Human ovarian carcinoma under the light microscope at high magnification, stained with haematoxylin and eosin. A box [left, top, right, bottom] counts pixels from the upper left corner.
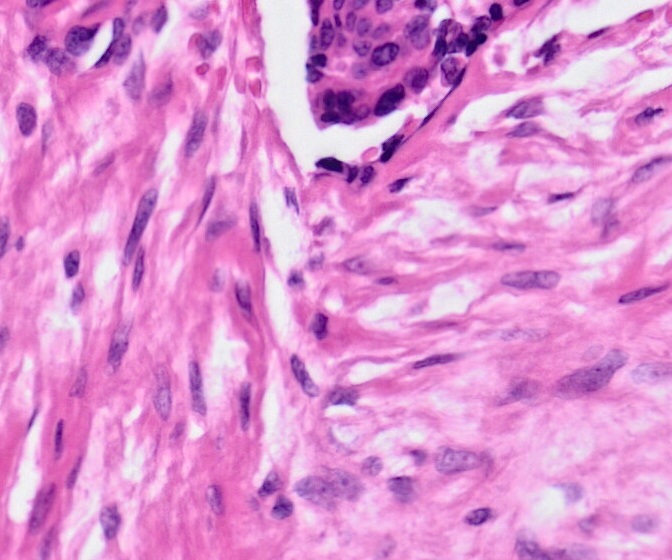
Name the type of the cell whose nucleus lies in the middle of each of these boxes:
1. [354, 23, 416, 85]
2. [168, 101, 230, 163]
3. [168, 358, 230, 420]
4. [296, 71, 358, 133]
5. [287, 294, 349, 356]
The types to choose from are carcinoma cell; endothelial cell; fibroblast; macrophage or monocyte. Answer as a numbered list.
1. carcinoma cell
2. fibroblast
3. fibroblast
4. carcinoma cell
5. fibroblast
